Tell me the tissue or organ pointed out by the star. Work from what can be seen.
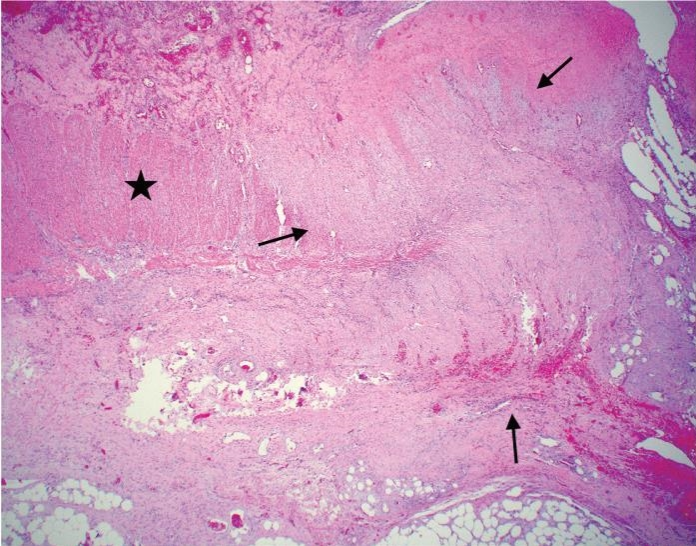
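Muscularis propria. The star lies on a band of deeply pink, eosinophilic tissue arranged in parallel fascicles.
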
